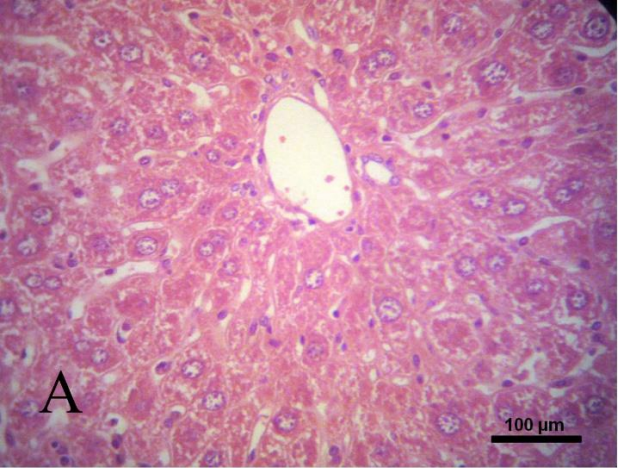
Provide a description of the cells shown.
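This is liver tissue, and almost every cell you see is a hepatocyte. Look at the round vessel near the middle: the liver cells are lined up in cords that run outward from it like spokes, with narrow pale channels between the cords. The hepatocytes are large and many-sided, with plentiful pink, finely granular cytoplasm. Each has a round nucleus in the centre, stained purple, with speckled chromatin and a clear nucleolus. Small, flattened, darker nuclei along the pale channels belong to the cells lining those spaces. The whole arrangement is even and orderly.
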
